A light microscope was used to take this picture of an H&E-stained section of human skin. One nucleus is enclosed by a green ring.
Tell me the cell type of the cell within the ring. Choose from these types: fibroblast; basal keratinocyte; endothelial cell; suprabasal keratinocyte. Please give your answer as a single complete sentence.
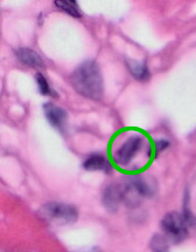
Within this tissue, the cell within the ring is an endothelial cell.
